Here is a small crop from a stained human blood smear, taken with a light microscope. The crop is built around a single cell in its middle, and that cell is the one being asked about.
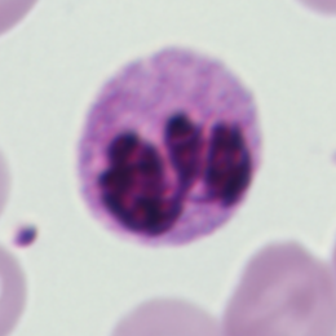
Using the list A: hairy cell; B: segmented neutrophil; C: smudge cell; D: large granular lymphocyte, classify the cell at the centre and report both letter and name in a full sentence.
The cell placed in the middle is a segmented neutrophil; option B is correct.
